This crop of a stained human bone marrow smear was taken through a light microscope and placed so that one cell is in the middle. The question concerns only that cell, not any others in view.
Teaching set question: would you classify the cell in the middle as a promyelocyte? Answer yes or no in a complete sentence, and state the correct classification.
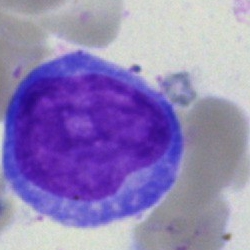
No, that would be a blast, not a promyelocyte, for the cell at the centre.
